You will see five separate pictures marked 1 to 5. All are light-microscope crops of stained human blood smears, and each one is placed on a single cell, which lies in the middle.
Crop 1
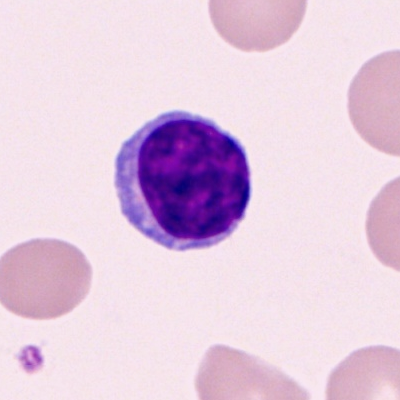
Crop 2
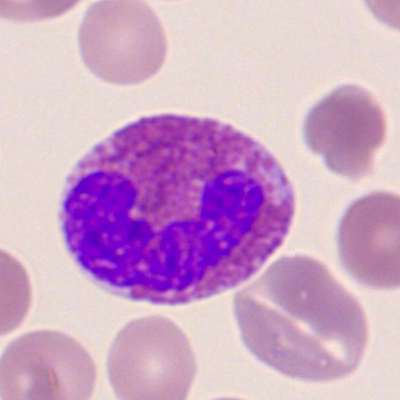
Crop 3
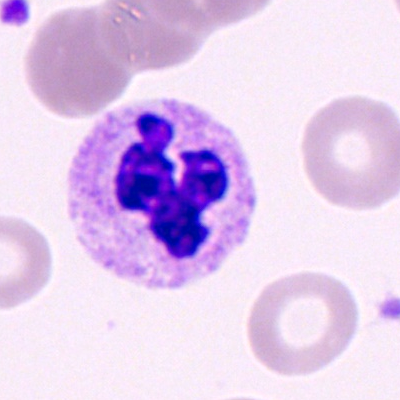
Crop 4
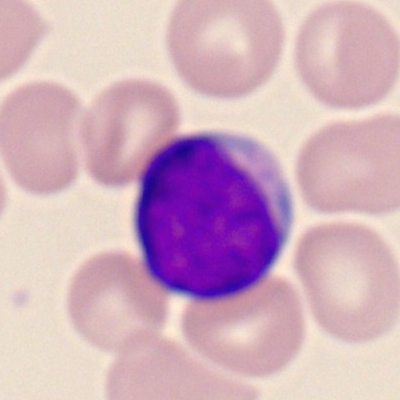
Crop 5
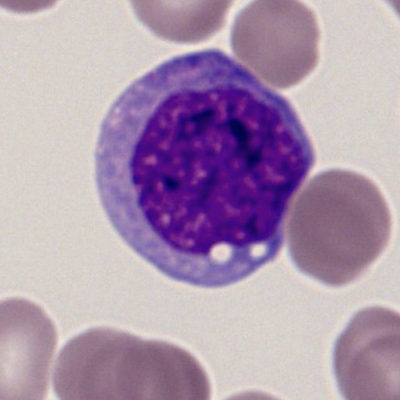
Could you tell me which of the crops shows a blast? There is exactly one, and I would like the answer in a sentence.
Crop 4 is the one that shows a blast.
